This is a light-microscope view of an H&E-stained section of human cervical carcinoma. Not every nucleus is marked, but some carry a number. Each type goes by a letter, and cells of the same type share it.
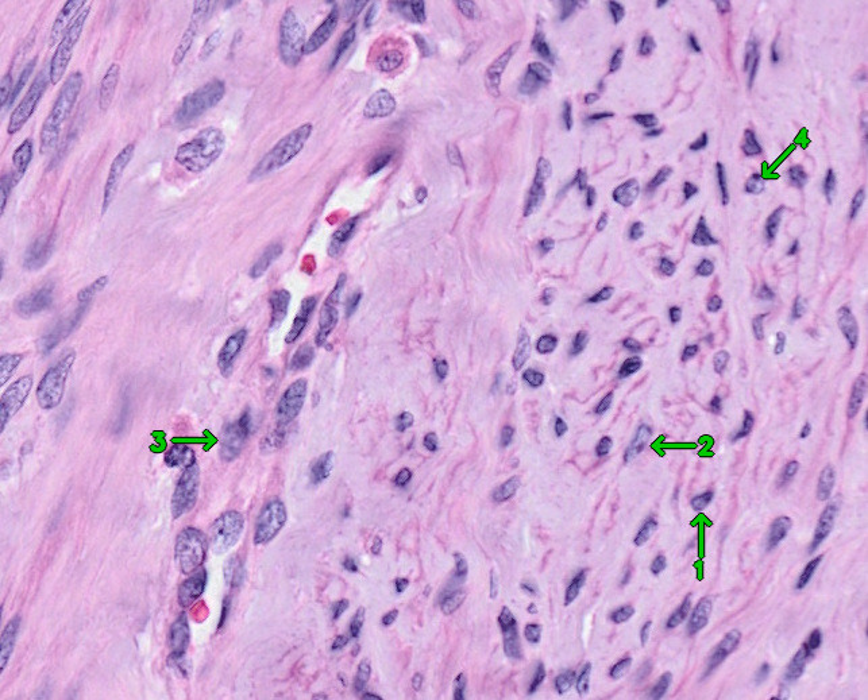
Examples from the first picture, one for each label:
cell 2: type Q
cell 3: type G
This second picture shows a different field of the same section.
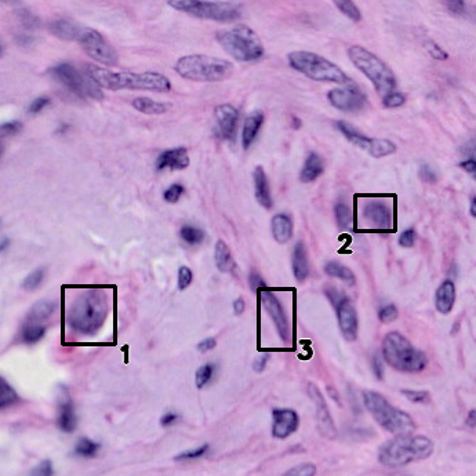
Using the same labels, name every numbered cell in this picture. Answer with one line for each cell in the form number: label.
1: type G
2: type Q
3: type Q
